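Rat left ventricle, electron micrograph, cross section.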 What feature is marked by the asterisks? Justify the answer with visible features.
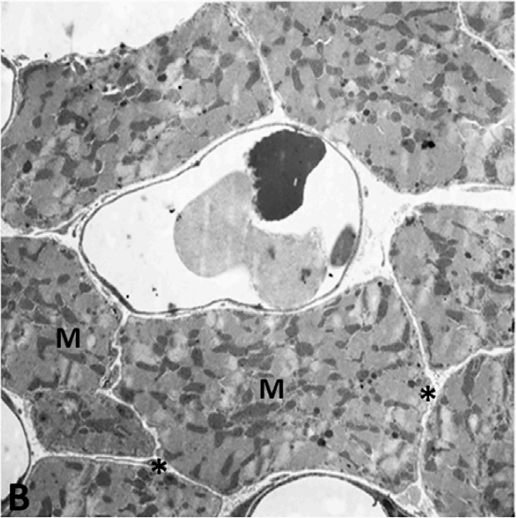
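The asterisks sit on thin pale lines running between adjacent cells. The answer: regular intercellular spaces.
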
